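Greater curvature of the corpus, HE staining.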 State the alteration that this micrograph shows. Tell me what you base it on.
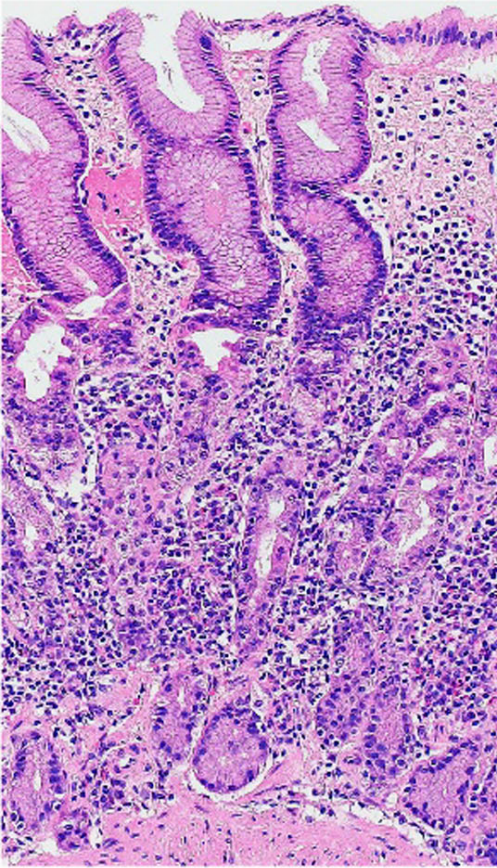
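Dense sheets of small round dark nuclei fill the lamina propria between the glands. The infiltrate is heavier in the deeper glandular zone than around the surface pits.
Conclusion: chronic inflammatory cell infiltration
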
